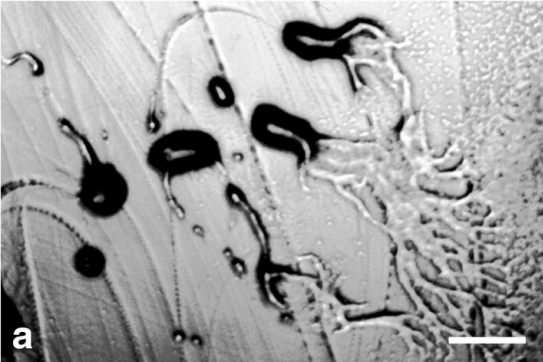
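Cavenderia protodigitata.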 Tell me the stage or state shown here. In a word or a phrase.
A: Early aggregations with extensive streams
